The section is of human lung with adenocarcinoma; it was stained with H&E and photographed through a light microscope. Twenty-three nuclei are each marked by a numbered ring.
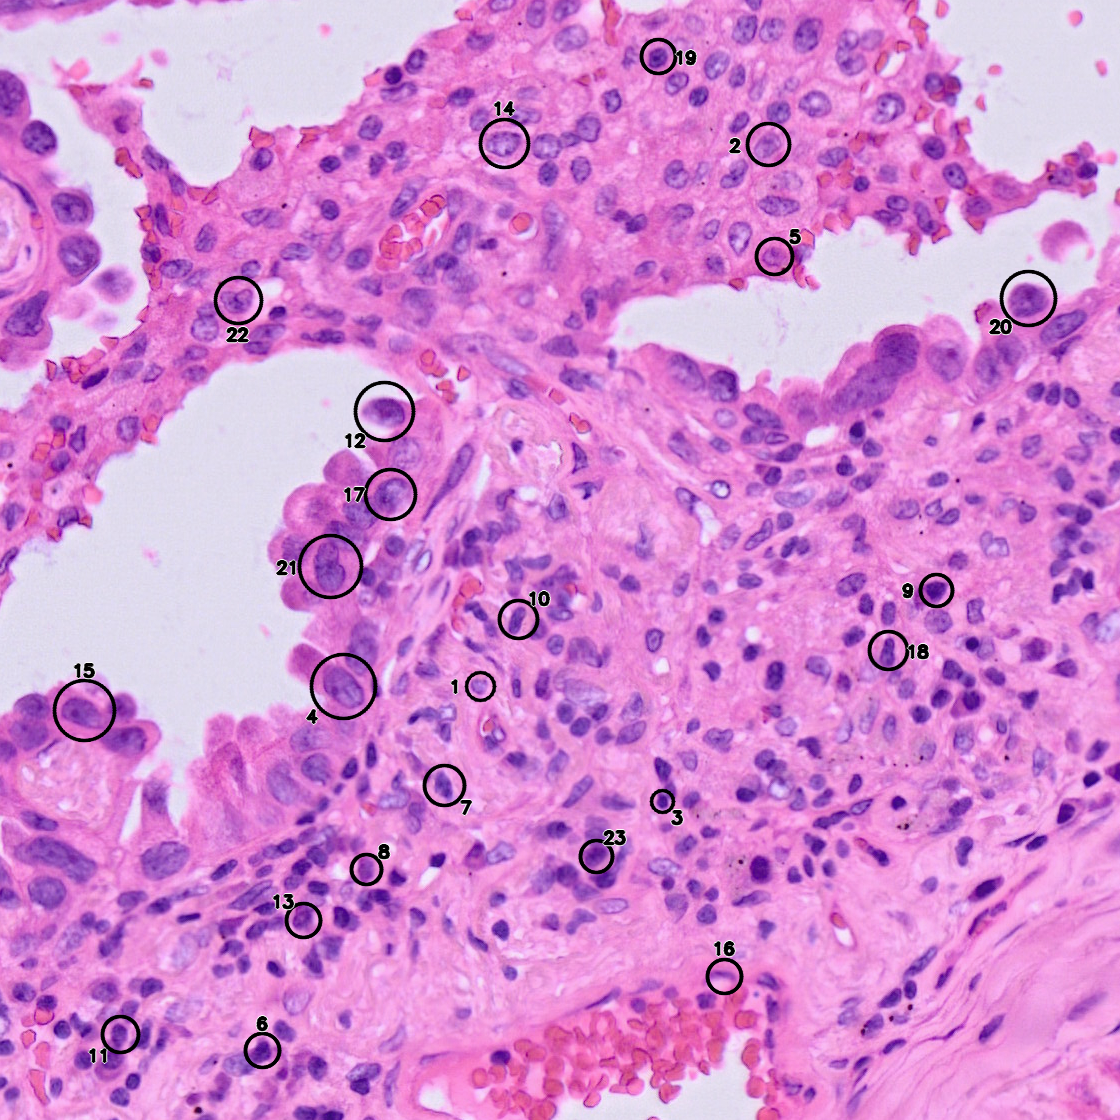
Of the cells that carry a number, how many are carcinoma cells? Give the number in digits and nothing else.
6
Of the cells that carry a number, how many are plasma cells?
5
